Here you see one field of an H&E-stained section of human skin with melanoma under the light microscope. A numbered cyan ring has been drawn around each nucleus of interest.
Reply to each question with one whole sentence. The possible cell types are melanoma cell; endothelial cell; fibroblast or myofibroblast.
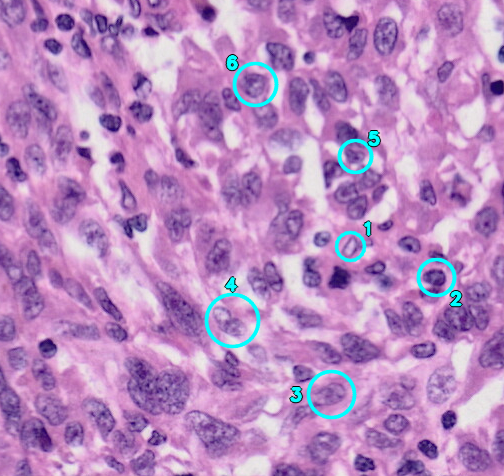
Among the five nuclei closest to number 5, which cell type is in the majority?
Melanoma cells make up most of the five nuclei closest to number 5.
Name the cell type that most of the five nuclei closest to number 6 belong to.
Around number 6, most of the five nearest nuclei are those of melanoma cells.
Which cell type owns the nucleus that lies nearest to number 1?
Number 1 lies closest to the nucleus of an endothelial cell.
